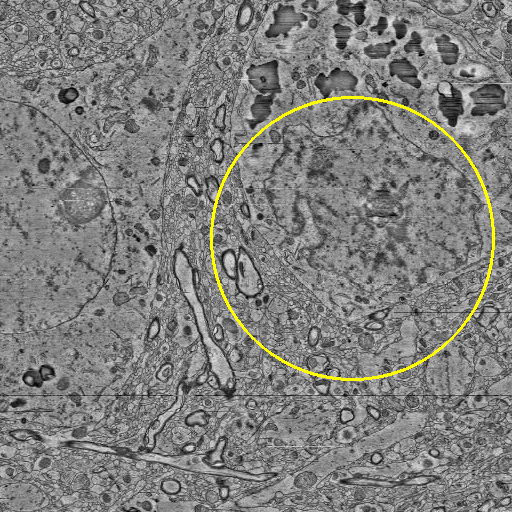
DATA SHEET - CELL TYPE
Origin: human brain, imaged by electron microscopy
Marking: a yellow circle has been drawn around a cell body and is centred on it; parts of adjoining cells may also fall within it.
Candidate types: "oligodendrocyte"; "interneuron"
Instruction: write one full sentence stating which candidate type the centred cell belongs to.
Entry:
The cell body at the centre of the yellow ring in this micrograph belongs to an interneuron.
